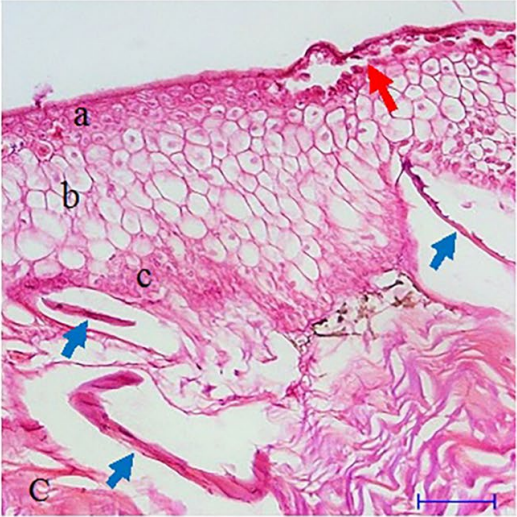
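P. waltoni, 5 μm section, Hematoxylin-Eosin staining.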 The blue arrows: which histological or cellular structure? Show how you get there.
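Thin, curved, deep pink plates lie within clear pockets below the epidermis.
Scale.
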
